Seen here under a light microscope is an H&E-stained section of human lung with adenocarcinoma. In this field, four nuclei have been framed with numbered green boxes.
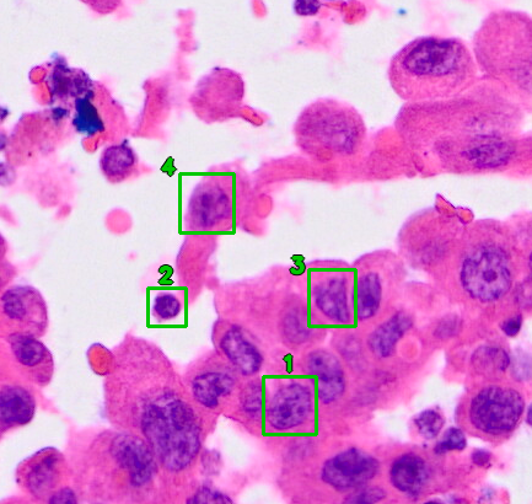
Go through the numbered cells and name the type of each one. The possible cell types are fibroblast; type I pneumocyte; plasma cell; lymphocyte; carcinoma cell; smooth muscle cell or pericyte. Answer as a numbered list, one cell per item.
1. carcinoma cell
2. lymphocyte
3. carcinoma cell
4. carcinoma cell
